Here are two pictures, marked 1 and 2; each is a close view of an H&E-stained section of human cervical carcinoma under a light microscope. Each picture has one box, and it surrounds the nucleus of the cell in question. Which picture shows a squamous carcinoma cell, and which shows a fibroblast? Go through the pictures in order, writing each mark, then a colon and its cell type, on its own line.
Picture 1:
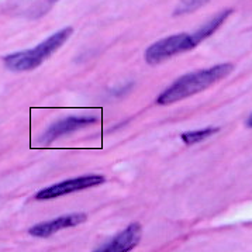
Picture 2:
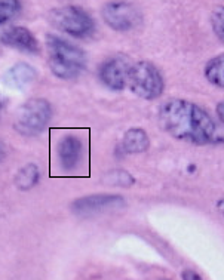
1: fibroblast
2: squamous carcinoma cell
